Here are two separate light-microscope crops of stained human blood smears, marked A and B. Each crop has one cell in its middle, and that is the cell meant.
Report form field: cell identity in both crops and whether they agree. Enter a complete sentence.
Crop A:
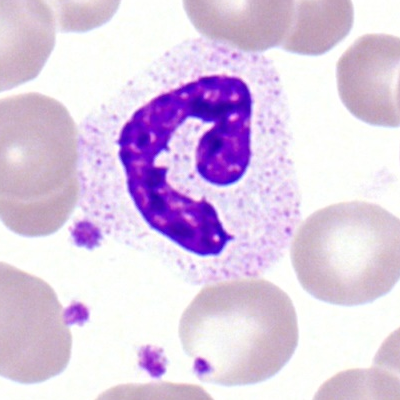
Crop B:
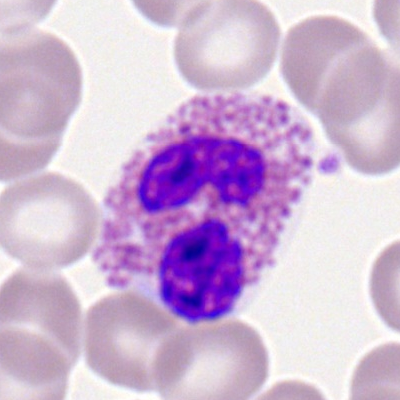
No, whereas crop A shows a band neutrophil, crop B shows an eosinophil.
